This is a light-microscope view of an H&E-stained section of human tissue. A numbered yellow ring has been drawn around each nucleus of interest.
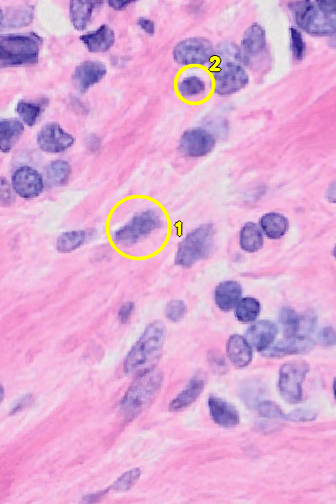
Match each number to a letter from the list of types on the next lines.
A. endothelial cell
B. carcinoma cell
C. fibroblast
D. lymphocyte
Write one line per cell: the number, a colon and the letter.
1: C
2: B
